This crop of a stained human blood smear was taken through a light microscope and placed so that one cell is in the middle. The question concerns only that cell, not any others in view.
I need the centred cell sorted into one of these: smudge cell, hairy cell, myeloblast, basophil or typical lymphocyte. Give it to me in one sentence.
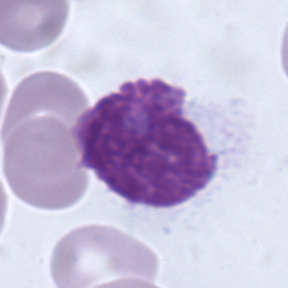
Located at the centre of the crop is a smudge cell.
